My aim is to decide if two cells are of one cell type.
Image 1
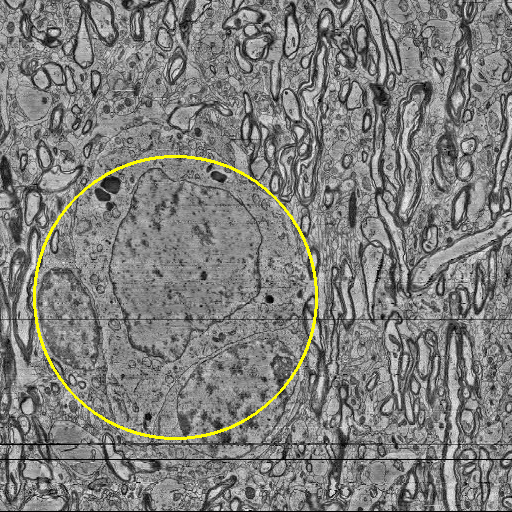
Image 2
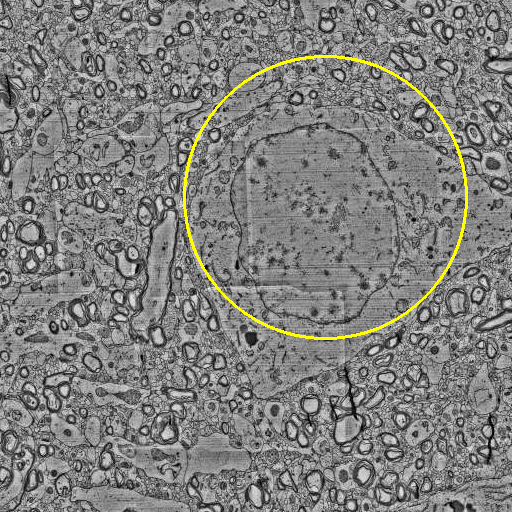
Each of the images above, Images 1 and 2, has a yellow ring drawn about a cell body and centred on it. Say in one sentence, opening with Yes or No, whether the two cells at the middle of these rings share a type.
Yes, in Images 1 and 2 the cells at the middle of the rings share one type.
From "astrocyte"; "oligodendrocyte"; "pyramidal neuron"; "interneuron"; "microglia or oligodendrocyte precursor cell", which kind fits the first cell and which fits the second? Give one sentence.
Each of the two cells is a pyramidal neuron.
